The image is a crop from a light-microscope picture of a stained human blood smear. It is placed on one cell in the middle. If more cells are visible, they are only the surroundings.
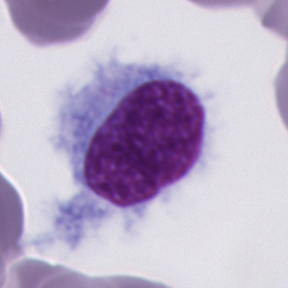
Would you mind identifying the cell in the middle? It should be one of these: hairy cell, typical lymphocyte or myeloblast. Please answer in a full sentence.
The centrally positioned cell in the crop represents a hairy cell.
